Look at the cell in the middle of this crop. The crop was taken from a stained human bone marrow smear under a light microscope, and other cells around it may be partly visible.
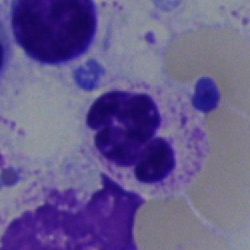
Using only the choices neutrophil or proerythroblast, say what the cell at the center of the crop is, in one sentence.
Where the crop is centred, there is a neutrophil.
